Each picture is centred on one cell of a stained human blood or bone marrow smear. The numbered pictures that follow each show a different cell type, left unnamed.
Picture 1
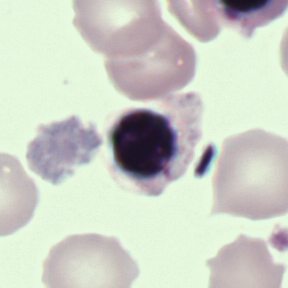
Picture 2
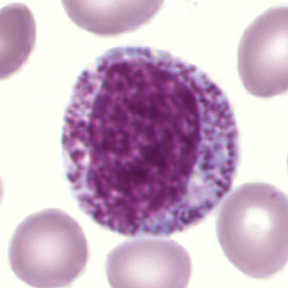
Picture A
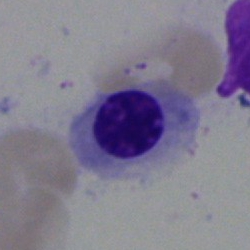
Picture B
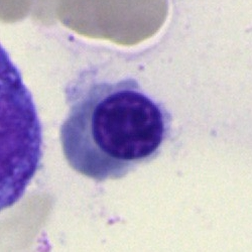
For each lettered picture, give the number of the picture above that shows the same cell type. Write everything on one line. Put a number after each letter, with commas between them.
A 1, B 1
